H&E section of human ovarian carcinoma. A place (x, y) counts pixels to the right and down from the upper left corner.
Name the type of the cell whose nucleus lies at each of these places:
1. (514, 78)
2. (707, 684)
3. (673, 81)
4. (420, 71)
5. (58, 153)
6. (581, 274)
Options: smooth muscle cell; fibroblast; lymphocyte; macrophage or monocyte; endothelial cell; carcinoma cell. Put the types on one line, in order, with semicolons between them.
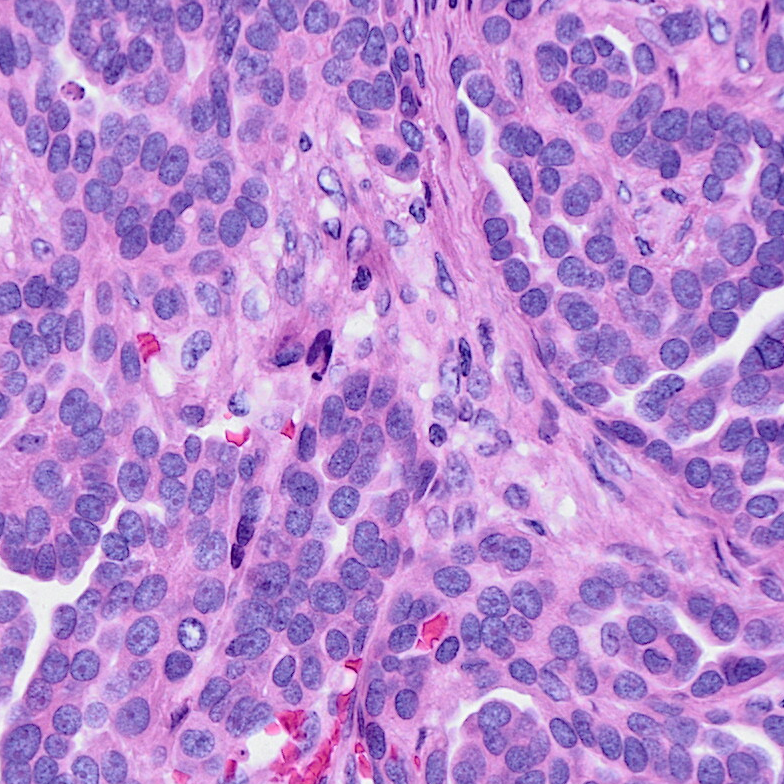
fibroblast; carcinoma cell; fibroblast; fibroblast; carcinoma cell; carcinoma cell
